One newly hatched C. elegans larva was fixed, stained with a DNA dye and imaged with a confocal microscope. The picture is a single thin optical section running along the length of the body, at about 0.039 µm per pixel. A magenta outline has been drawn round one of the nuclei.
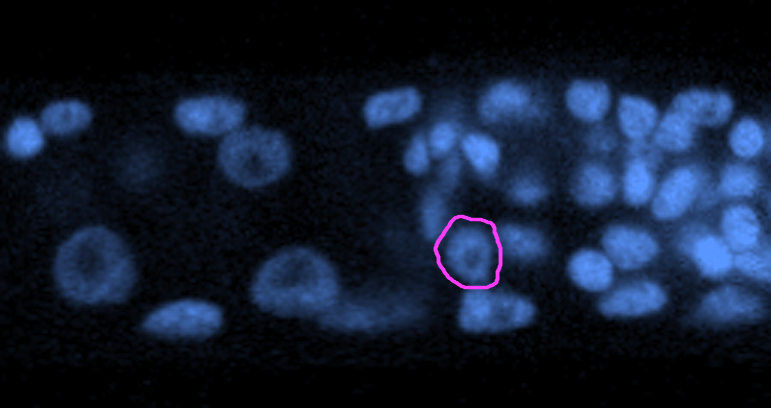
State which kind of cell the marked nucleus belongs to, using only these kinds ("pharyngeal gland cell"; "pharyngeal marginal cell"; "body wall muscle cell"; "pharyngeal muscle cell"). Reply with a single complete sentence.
It is the nucleus of a pharyngeal gland cell.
